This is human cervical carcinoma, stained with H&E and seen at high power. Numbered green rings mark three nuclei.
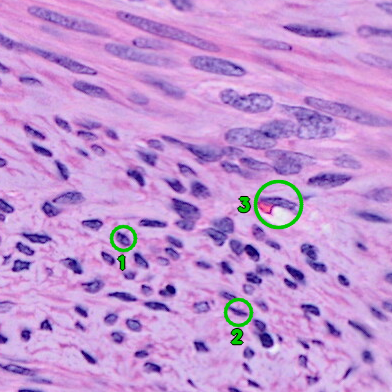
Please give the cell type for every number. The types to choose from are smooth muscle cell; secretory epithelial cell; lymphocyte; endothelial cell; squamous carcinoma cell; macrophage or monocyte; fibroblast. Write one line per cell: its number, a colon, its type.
1: smooth muscle cell
2: smooth muscle cell
3: endothelial cell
